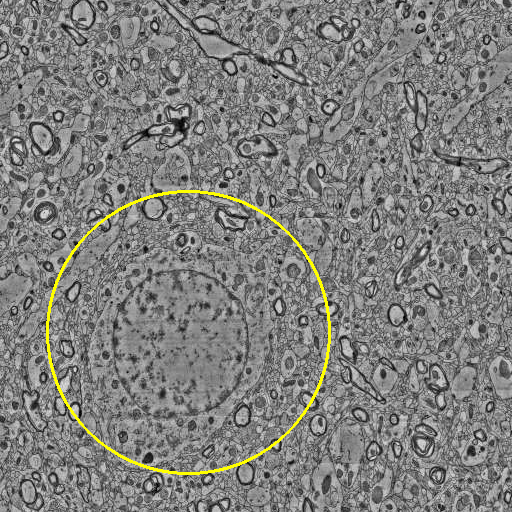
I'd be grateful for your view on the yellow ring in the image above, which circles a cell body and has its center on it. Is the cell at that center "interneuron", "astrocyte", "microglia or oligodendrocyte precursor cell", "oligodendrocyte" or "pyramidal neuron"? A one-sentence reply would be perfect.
The cell at the center of the yellow ring is an interneuron.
